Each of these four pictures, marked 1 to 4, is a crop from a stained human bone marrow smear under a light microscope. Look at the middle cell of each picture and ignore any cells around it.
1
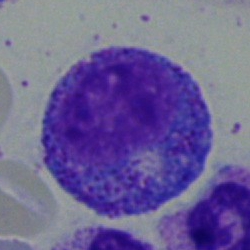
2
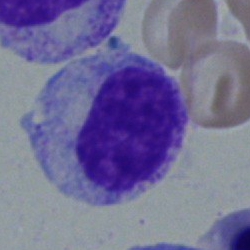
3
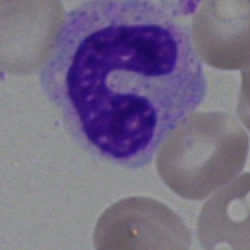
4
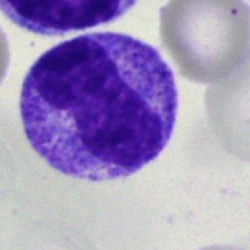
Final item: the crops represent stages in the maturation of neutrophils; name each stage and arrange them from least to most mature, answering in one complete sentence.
The sequence from earliest to latest maturation stage is crop 1 (a promyelocyte), crop 2 (a myelocyte), crop 4 (a metamyelocyte) and crop 3 (a band neutrophil).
